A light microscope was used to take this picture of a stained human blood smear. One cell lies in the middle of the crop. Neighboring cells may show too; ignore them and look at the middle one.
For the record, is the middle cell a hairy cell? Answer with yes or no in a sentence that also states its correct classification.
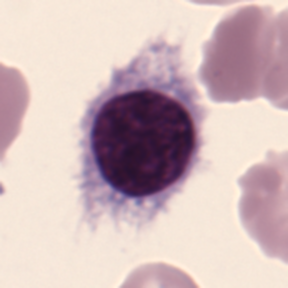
Yes, the cell at the centre is designated a hairy cell.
